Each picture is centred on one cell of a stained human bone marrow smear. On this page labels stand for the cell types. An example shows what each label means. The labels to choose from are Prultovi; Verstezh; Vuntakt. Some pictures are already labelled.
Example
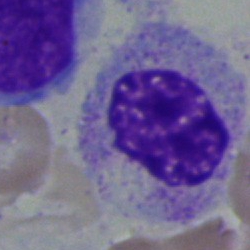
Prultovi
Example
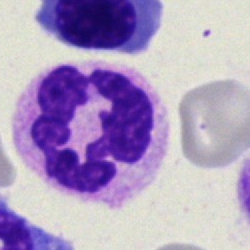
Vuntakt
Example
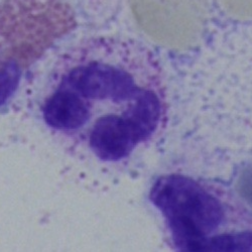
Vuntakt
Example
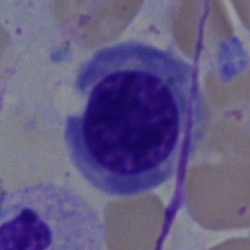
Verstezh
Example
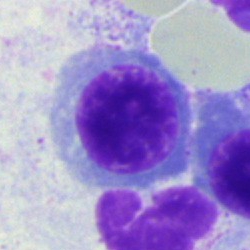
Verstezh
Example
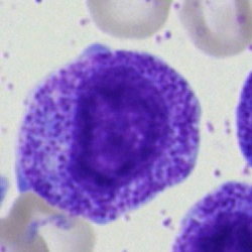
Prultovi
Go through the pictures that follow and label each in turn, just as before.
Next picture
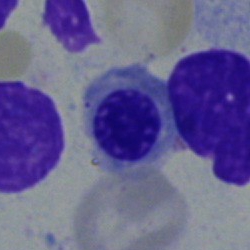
Verstezh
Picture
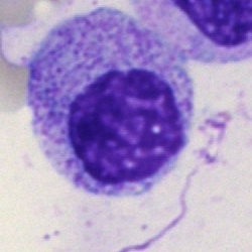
Prultovi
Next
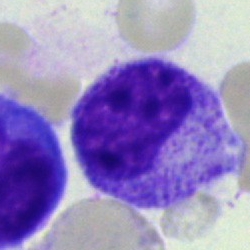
Prultovi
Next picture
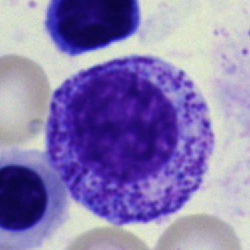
Prultovi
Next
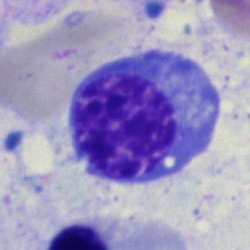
Verstezh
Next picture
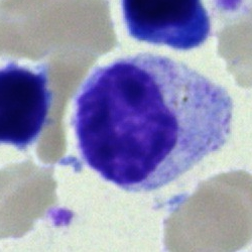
Prultovi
